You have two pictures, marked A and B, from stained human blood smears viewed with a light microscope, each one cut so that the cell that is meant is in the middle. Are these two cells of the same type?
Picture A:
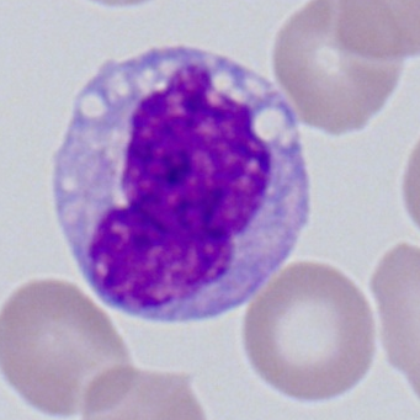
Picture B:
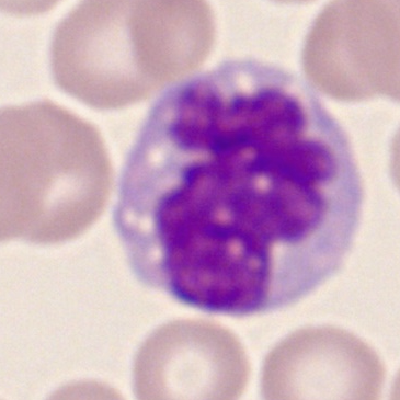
yes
